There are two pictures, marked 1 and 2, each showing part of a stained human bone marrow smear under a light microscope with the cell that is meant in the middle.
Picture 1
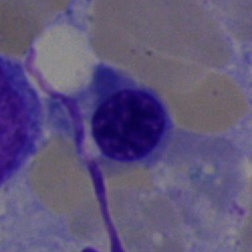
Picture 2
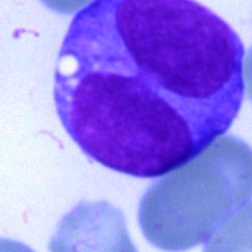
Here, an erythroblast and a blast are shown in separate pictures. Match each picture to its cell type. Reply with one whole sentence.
It is picture 1 that shows an erythroblast, and picture 2 that shows a blast.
